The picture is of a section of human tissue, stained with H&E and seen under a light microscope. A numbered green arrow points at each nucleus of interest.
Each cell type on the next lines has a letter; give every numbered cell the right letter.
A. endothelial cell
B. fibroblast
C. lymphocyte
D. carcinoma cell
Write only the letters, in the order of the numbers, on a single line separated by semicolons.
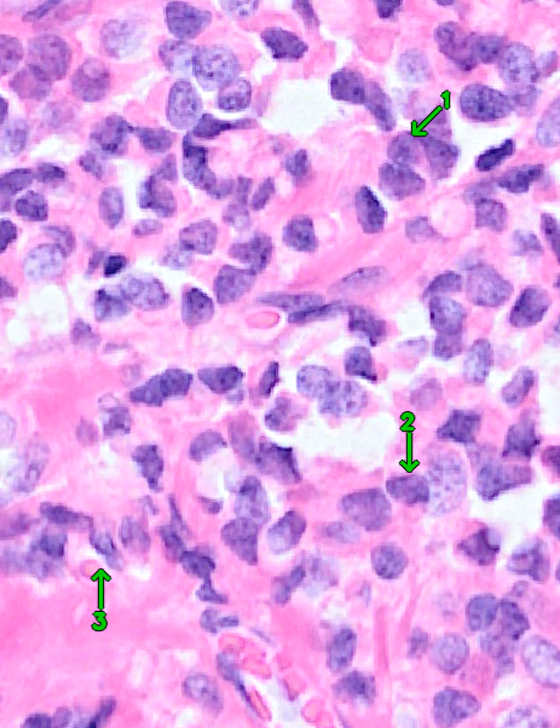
D; D; A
